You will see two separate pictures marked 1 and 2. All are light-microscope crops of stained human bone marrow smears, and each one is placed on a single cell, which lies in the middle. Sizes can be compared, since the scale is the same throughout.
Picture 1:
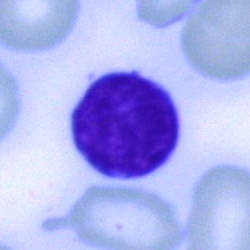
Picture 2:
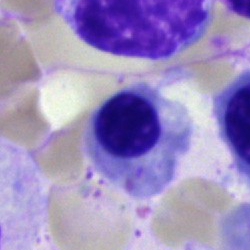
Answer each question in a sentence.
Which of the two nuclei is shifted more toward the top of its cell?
In picture 2 the nucleus is shifted more toward the top.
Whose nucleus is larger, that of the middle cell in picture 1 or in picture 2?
Larger is the nucleus in picture 1, at roughly 2.5 times the area of the other.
